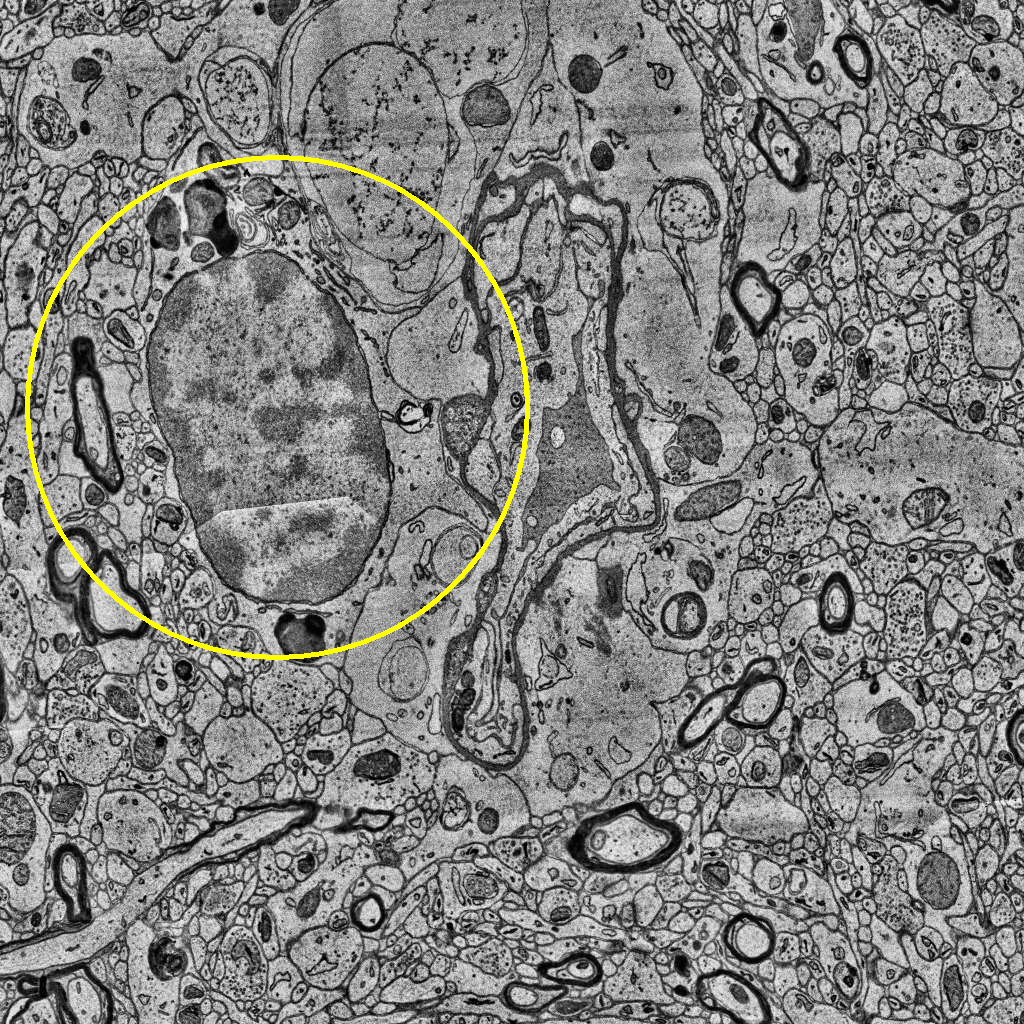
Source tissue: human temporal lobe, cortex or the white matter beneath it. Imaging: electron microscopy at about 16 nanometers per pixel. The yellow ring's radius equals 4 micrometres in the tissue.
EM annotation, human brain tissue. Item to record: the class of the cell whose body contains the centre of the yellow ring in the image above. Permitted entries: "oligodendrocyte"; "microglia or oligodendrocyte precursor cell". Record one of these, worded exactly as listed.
microglia or oligodendrocyte precursor cell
